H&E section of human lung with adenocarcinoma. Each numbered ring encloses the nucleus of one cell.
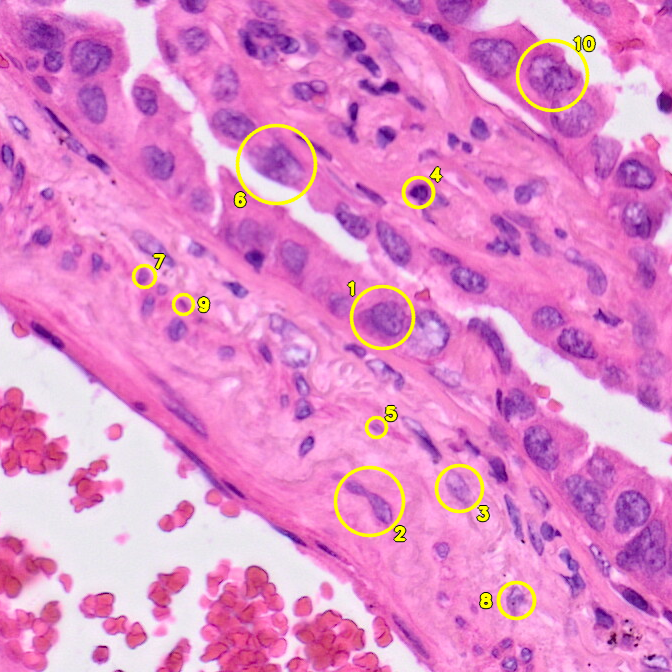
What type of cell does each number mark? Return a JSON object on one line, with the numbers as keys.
{"1": "carcinoma cell", "2": "smooth muscle cell or pericyte", "3": "fibroblast", "4": "plasma cell", "5": "smooth muscle cell or pericyte", "6": "carcinoma cell", "7": "smooth muscle cell or pericyte", "8": "fibroblast", "9": "smooth muscle cell or pericyte", "10": "carcinoma cell"}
